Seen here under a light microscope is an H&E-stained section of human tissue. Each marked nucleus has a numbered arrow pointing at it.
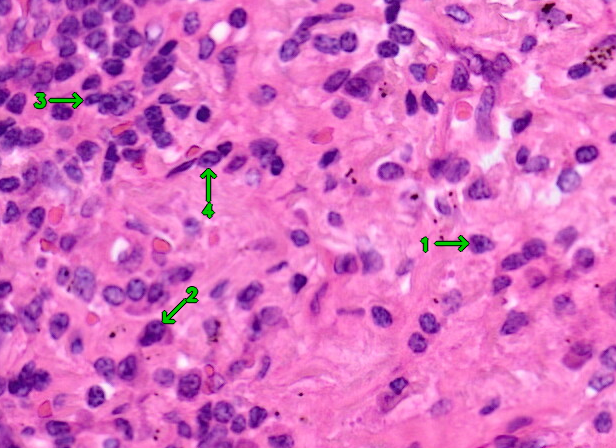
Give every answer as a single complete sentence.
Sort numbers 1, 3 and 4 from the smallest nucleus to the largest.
From smallest to largest, the order is 3, 4, 1.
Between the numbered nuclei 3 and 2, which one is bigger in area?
Nucleus 2 is larger, with an area about 4 times that of nucleus 3.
